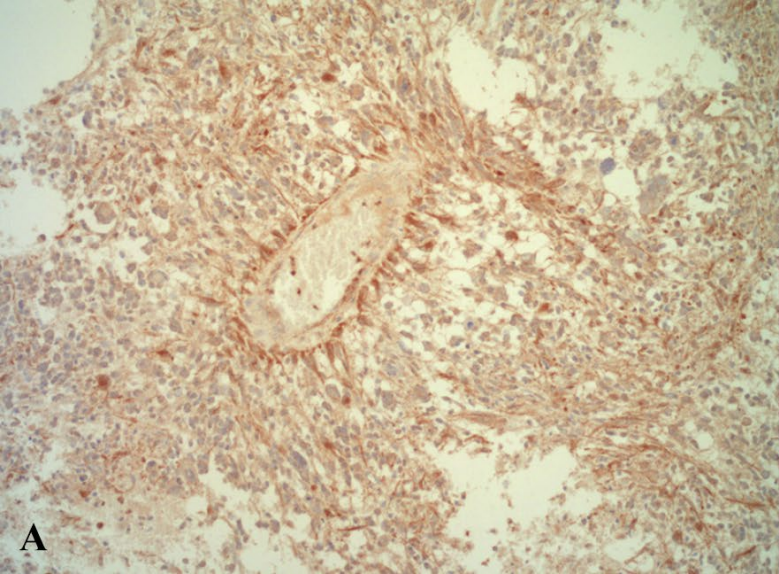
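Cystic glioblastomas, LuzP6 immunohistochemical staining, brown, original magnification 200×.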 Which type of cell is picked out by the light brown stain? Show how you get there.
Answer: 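Astrocyte-shaped cells. Stained cells have elongated cytoplasmic processes. Processes radiate toward a central tubular structure.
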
